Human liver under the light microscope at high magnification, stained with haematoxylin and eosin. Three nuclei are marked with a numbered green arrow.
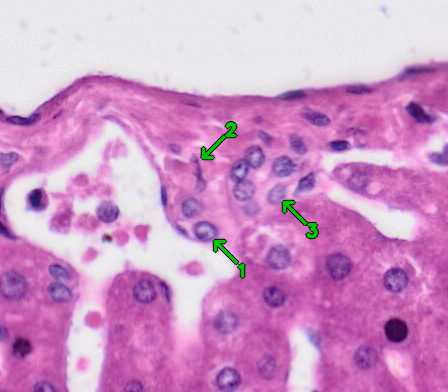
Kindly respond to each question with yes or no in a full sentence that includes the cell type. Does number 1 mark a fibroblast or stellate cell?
No, the nucleus numbered 1 belongs to a cholangiocyte, not a fibroblast or stellate cell.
